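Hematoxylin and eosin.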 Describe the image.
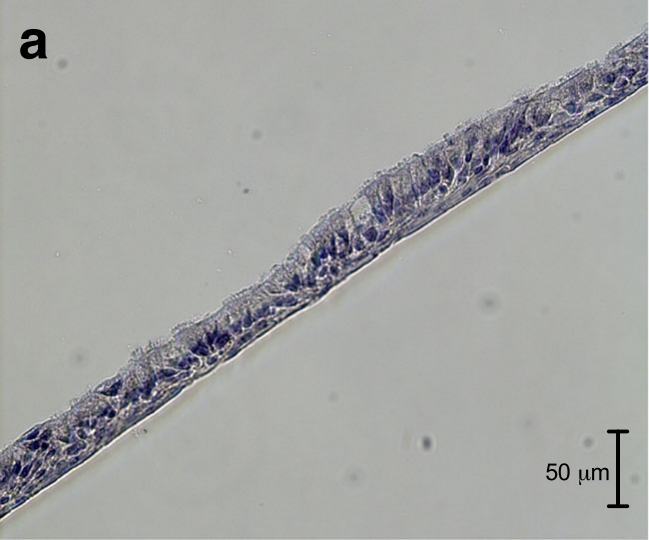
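A long narrow strip of purple-blue stained epithelium crosses the field on a thin, straight, pale base. Its thickness varies along its length, with taller, more crowded regions and thinner stretches. The cells are stacked in more than one apparent layer, with a slightly ragged upper edge facing the open space above.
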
